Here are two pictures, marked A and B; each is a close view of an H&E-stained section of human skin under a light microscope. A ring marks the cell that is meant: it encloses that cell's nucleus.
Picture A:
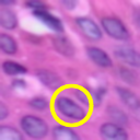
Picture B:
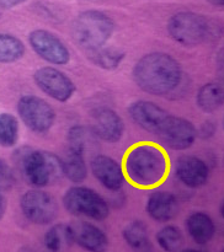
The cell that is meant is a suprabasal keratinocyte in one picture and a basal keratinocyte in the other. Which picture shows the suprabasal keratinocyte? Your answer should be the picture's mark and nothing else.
B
